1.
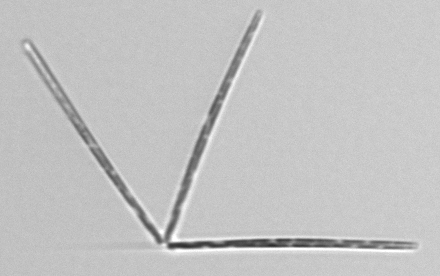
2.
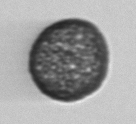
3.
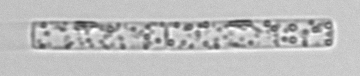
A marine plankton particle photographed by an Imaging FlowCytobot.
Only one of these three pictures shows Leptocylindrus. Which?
Picture 3.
